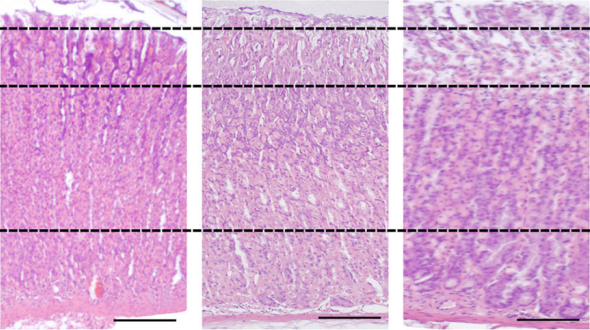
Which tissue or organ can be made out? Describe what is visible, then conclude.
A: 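Long parallel tubular glands run from the top surface down to the base. The glands are packed with pink-staining epithelial cells. Thin strands of connective tissue separate the glands. That points to this answer: gastric mucosa.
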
